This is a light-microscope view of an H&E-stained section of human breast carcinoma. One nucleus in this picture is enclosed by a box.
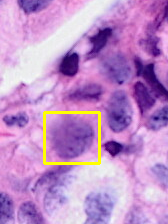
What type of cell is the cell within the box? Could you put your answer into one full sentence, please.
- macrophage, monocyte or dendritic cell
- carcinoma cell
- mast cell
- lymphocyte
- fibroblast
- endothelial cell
Within the stained tissue, the cell within the box is a carcinoma cell.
